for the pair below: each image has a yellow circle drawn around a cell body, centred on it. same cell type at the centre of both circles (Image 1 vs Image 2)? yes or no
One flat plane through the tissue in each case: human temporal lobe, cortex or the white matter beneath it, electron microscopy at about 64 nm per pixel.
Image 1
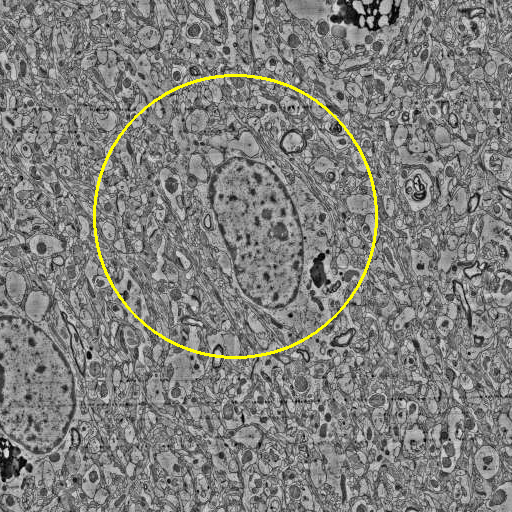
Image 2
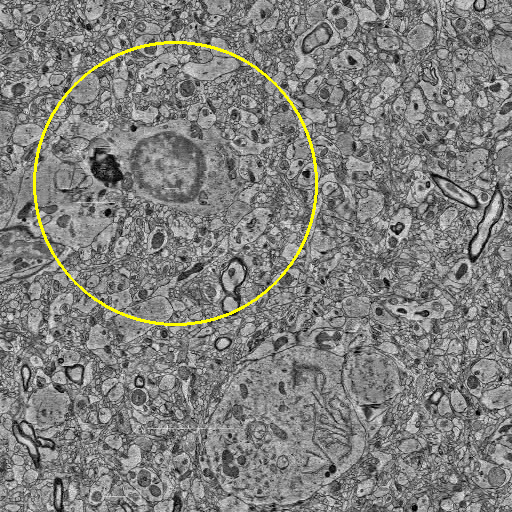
no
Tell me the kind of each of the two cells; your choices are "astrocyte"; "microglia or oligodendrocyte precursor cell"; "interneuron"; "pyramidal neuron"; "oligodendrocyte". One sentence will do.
The ringed cell is an astrocyte in the first picture and an oligodendrocyte in the second picture.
